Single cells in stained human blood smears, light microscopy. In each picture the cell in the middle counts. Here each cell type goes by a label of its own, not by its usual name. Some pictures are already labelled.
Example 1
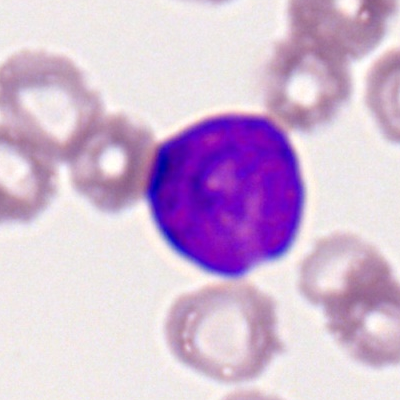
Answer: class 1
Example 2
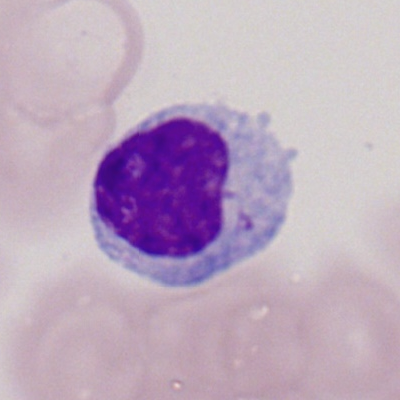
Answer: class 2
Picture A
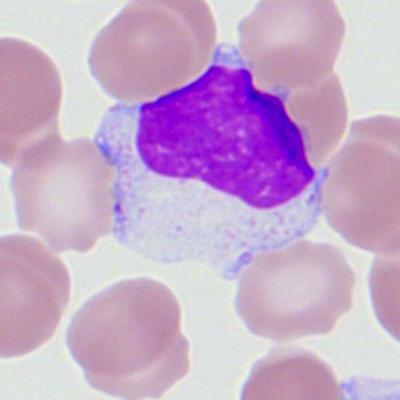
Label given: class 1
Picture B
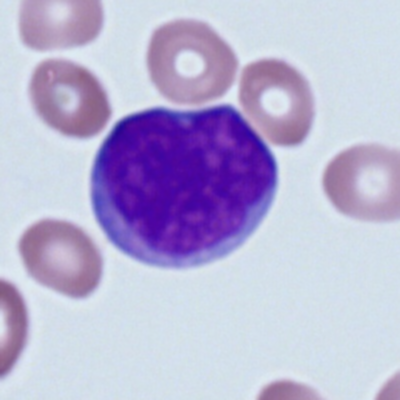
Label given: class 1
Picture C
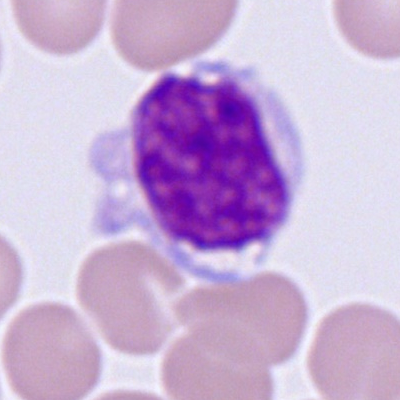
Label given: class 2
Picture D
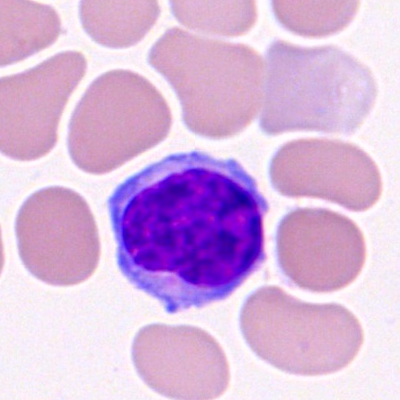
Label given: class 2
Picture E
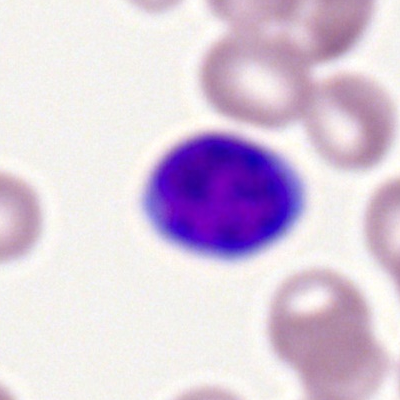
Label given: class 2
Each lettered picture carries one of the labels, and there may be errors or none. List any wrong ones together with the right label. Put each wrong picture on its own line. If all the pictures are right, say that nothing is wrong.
A: class 2, not class 1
